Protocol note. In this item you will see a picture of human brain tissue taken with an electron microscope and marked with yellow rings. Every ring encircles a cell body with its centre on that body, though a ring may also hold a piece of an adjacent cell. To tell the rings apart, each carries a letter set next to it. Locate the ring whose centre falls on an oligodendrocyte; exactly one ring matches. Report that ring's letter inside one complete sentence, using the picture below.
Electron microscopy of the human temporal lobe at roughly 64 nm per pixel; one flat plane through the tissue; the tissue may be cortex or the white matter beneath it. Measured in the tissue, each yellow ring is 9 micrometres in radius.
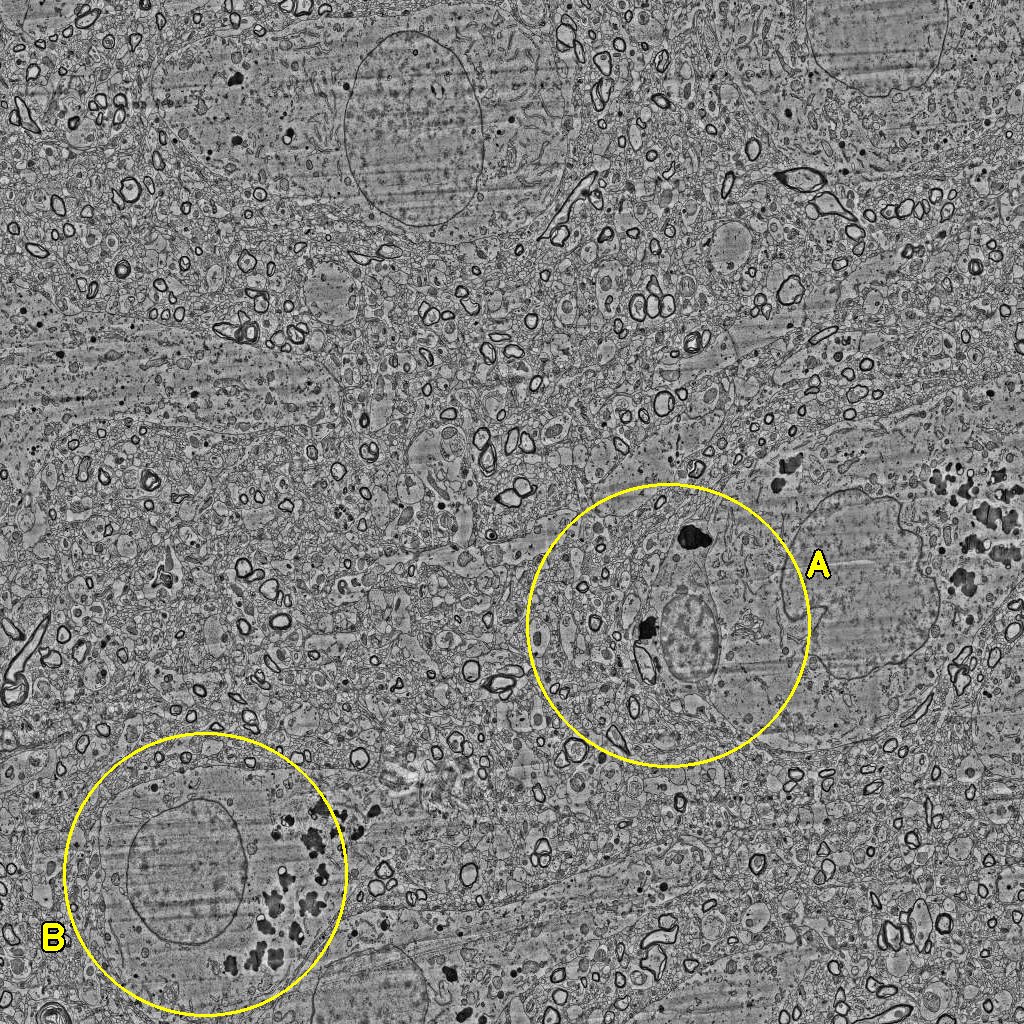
My answer is A, the ring whose centre falls on that kind of cell.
